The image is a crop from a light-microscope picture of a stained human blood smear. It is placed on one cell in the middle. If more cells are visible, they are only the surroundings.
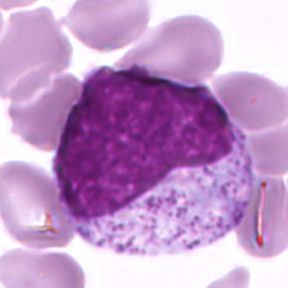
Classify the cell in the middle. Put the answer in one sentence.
Here the cell in the middle is a myelocyte.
